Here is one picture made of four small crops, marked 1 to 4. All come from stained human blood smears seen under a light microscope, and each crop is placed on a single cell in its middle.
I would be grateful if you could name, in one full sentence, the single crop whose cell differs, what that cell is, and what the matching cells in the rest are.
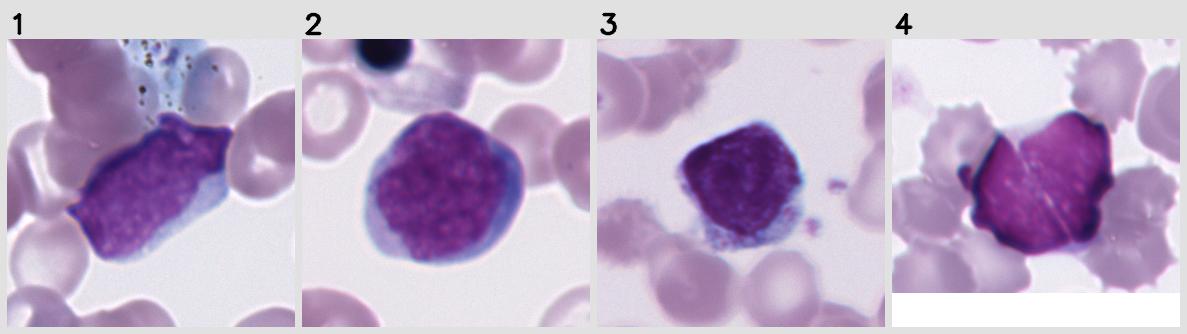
Unlike the other crops, which all show myeloblasts, crop 3 is a typical lymphocyte.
